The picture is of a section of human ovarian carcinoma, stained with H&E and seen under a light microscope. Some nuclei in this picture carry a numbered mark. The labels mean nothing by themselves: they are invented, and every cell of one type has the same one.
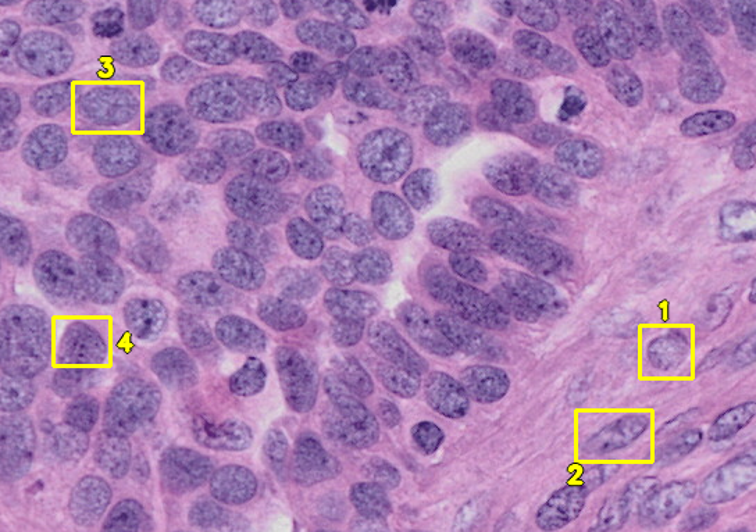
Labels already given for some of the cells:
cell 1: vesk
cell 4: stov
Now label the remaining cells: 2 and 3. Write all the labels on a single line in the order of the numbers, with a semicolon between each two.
vesk; stov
